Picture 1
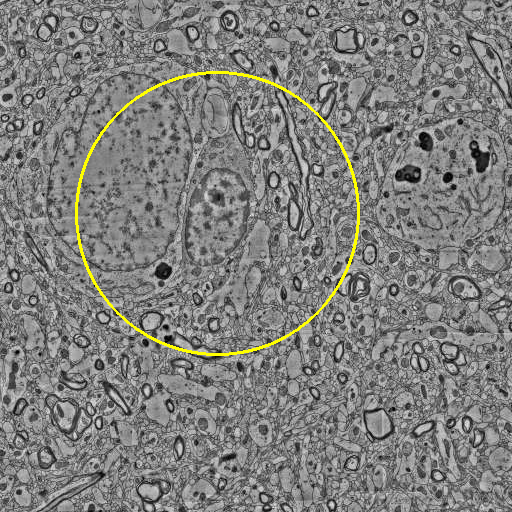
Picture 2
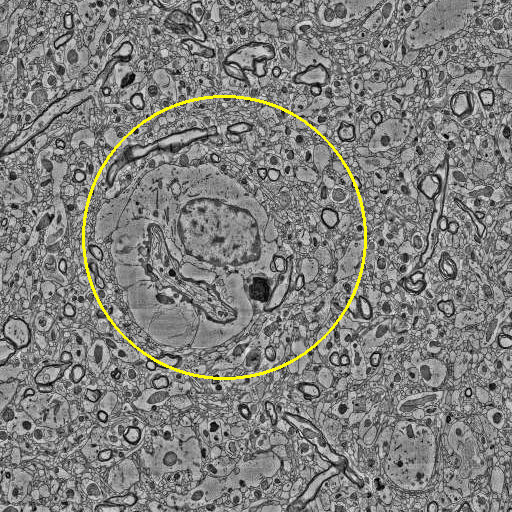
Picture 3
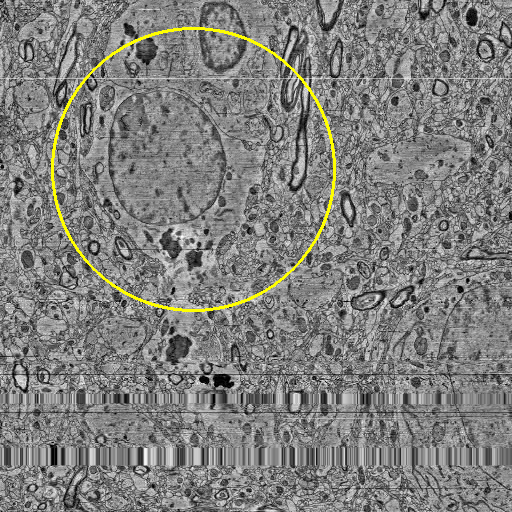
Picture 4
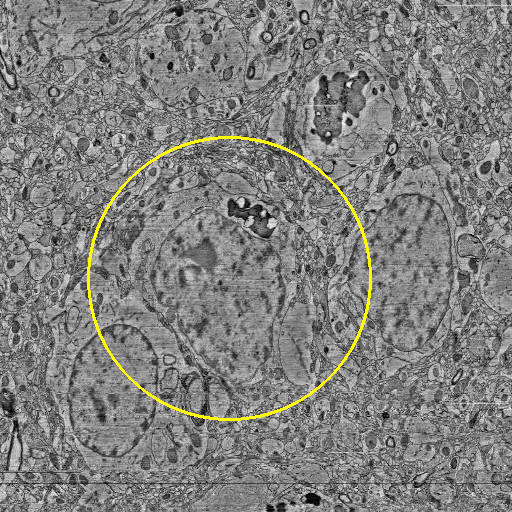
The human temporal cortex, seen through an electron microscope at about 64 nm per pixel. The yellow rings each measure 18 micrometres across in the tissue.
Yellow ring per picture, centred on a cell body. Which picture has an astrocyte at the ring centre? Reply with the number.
3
